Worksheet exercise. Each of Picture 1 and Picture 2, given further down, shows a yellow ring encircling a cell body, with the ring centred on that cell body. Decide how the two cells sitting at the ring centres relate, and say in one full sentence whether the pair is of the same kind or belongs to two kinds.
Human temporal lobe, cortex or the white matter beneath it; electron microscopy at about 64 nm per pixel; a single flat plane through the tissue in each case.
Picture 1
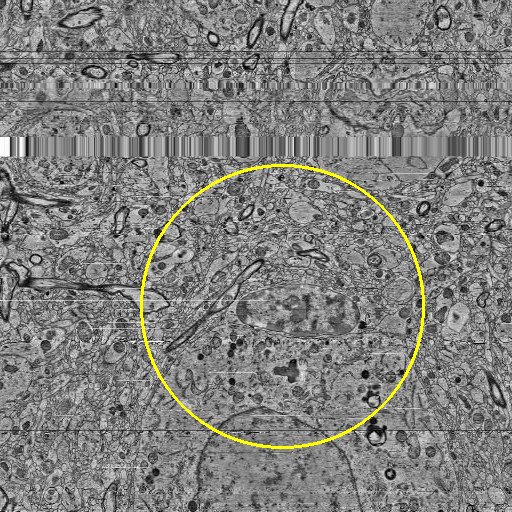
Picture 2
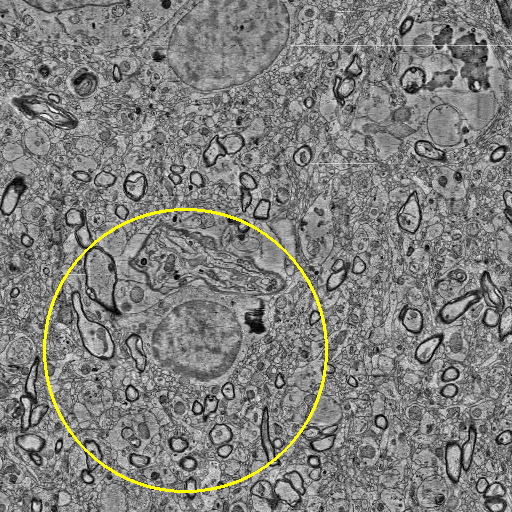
The cells at the ring centres in Picture 1 and Picture 2 belong to two kinds.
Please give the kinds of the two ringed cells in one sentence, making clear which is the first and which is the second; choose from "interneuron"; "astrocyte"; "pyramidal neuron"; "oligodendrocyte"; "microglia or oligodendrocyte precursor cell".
In the second picture the ringed cell is an oligodendrocyte; in the first it is a microglial cell or oligodendrocyte precursor cell.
